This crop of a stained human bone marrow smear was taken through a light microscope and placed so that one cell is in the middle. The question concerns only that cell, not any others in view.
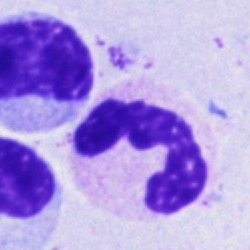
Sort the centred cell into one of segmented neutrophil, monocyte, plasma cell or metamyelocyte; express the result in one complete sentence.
In the central position of this crop, the cell is a segmented neutrophil.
